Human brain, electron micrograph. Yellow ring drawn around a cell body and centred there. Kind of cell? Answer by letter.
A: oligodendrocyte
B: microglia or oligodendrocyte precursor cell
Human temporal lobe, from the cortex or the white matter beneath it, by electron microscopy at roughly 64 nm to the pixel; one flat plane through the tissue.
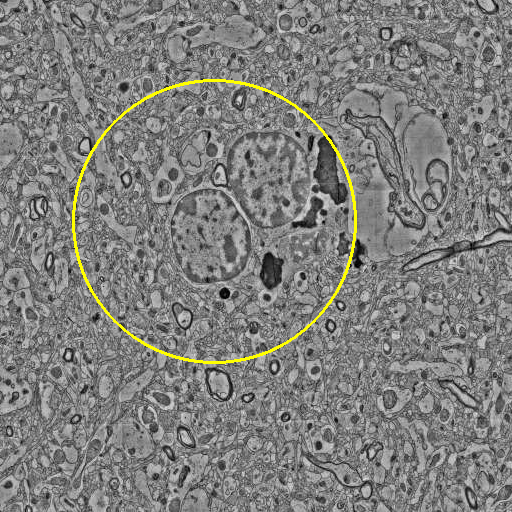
B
